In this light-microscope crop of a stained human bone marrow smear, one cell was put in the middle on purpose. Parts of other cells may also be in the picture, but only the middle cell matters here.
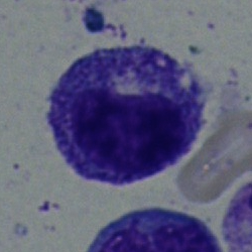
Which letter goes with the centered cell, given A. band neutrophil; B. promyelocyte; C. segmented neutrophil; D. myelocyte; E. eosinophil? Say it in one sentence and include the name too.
The middle cell of the crop is a myelocyte; accordingly, option D is correct.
